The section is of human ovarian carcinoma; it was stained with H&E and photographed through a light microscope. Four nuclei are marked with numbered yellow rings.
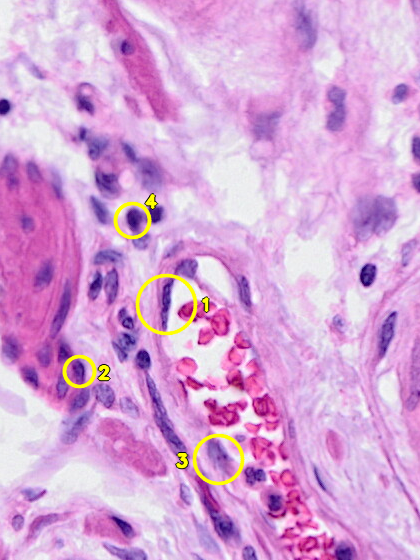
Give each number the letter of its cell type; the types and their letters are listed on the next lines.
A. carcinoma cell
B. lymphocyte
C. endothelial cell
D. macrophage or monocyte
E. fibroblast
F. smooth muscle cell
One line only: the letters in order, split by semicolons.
C; F; C; B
